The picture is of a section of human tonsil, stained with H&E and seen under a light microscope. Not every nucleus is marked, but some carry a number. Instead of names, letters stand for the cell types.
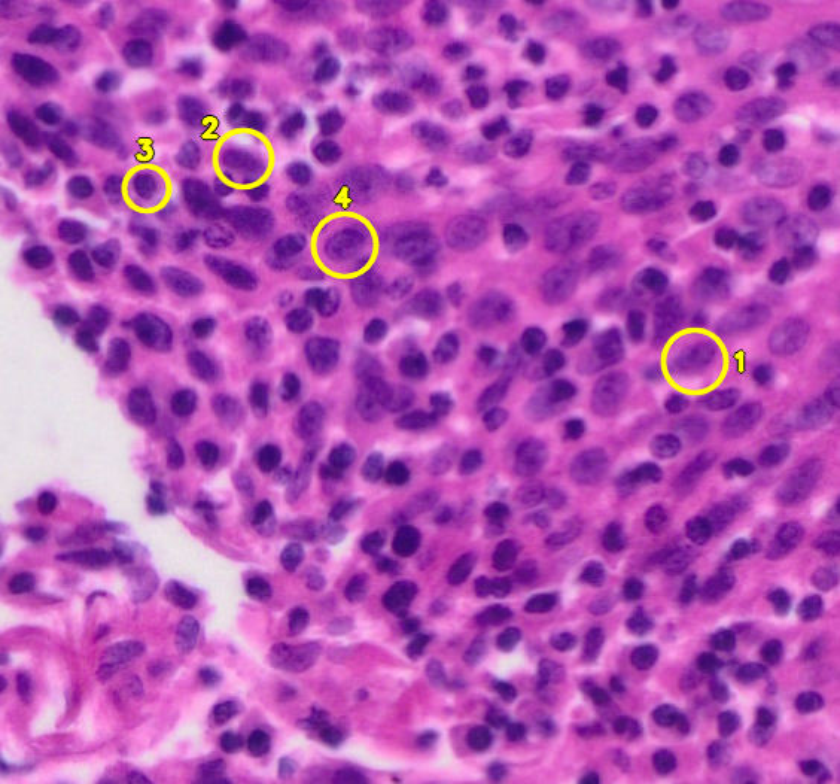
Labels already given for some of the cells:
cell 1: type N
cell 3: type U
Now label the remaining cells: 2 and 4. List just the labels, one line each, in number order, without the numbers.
type N
type N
